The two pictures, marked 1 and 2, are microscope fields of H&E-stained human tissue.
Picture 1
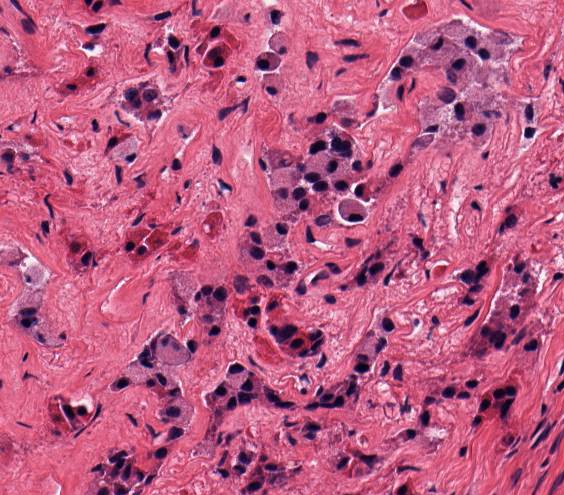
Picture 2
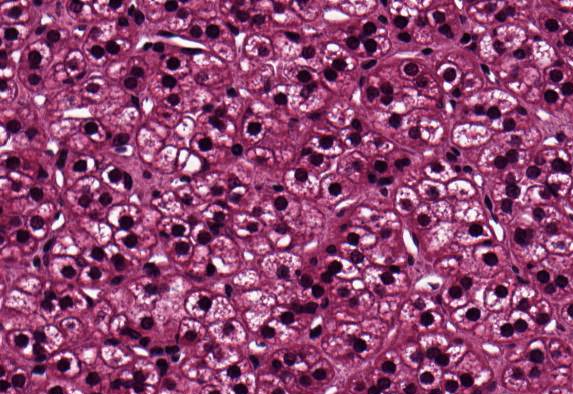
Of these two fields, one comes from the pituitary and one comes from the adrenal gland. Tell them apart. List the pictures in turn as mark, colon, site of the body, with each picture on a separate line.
1: pituitary
2: adrenal gland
